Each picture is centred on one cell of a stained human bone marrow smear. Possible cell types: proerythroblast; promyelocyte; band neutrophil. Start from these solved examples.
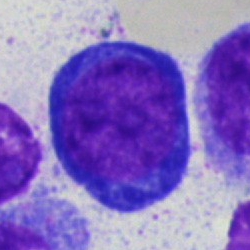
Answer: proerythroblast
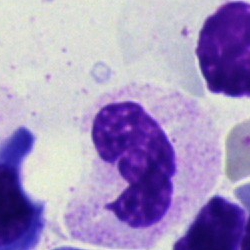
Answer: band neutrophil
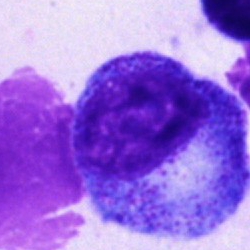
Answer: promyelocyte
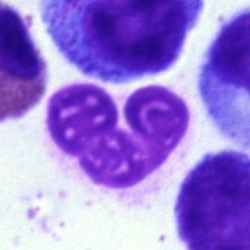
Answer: band neutrophil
